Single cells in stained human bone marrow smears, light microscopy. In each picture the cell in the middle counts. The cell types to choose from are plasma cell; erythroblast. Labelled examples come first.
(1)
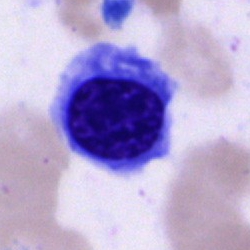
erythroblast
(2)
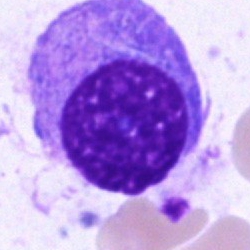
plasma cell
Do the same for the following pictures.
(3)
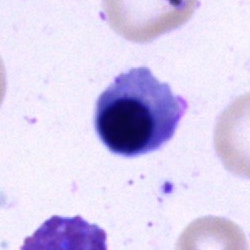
erythroblast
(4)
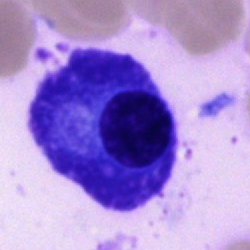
plasma cell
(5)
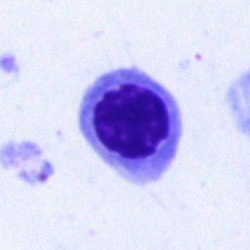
erythroblast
